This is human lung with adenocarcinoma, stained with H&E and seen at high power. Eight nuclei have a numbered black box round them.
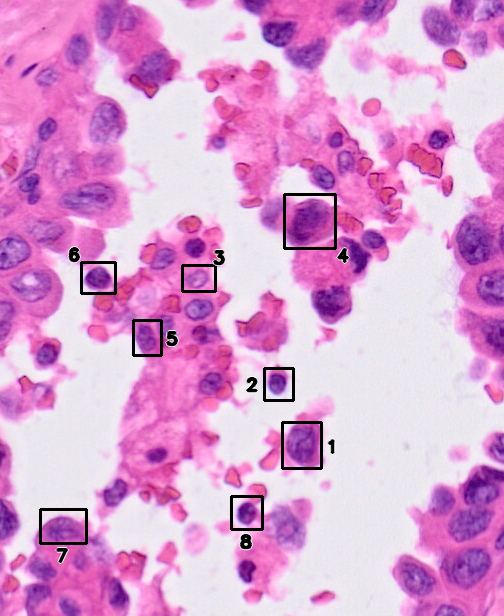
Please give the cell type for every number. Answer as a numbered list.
1. carcinoma cell
2. lymphocyte
3. macrophage or monocyte
4. carcinoma cell
5. macrophage or monocyte
6. lymphocyte
7. carcinoma cell
8. lymphocyte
